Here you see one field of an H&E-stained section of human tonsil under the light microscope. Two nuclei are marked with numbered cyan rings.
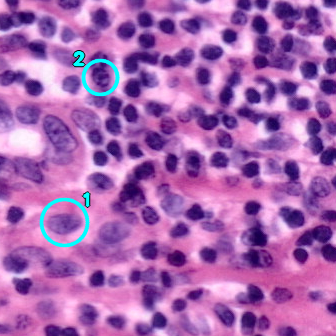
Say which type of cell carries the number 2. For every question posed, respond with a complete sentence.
The cell that is numbered 2 is a plasma cell.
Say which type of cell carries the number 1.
Denoted by the label 1 in the section is an endothelial cell.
